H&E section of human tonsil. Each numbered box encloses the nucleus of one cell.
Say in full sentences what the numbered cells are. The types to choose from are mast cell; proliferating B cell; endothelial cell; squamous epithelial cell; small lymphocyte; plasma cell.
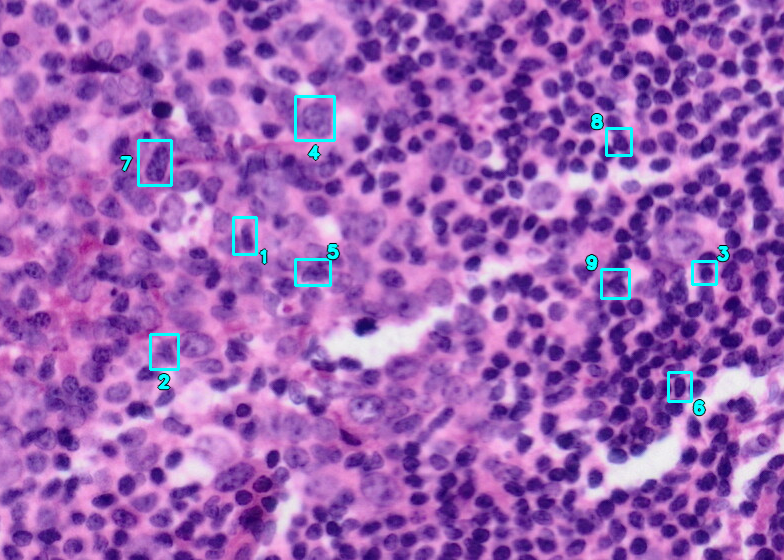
Cells 1, 2, 4, 5 and 7 are proliferating B cells. Cells 3, 6, 8 and 9 are small lymphocytes.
